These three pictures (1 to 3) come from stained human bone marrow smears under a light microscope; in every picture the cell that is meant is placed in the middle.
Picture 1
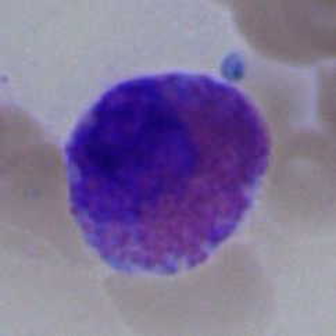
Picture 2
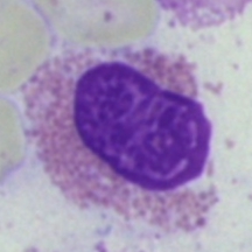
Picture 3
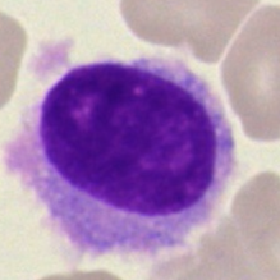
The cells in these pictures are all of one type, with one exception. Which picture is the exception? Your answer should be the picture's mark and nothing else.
3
